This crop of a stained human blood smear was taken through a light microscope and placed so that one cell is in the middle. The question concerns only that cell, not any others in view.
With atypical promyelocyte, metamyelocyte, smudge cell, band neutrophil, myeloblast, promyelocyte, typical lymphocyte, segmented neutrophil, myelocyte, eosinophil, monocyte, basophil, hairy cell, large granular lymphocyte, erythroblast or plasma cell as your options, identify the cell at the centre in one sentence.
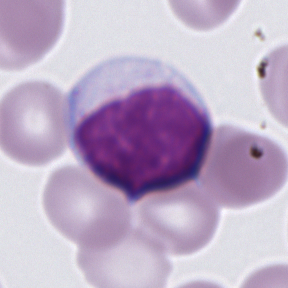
At the crop's centre, the cell is a large granular lymphocyte.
